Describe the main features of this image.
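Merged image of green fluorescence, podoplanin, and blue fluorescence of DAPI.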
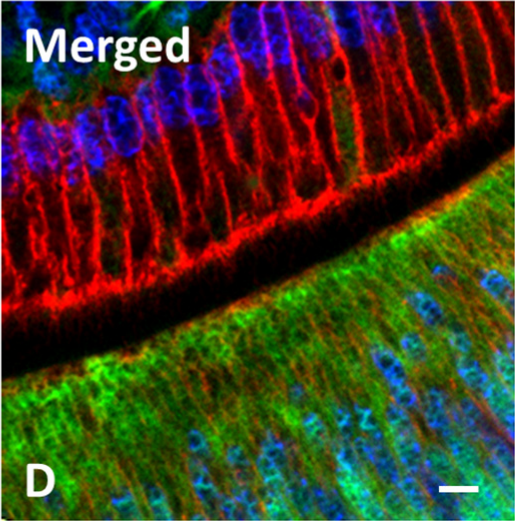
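Two palisades of tall columnar cells face each other across a dark, cell-free band: the odontoblasts above and the ameloblasts below. The odontoblasts have sharply red-outlined cell borders, and their blue nuclei sit only at the far end of the cells, on the pulp side away from the band. The ameloblasts below have green-filled cytoplasm with fainter red outlines, and their blue nuclei lie deep in the layer, far from the band.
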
